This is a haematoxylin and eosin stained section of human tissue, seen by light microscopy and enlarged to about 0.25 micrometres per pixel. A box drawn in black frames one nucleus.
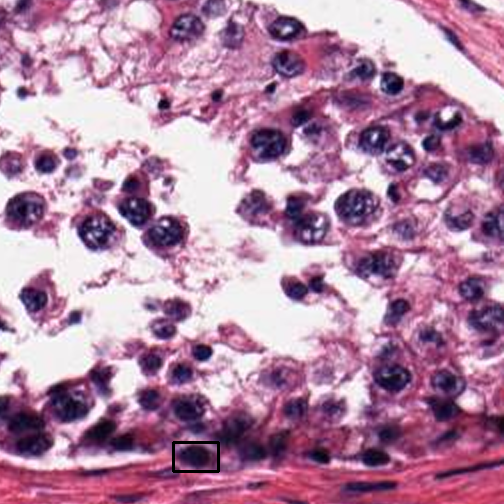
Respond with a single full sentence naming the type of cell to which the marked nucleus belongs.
The marked nucleus is housed in a spermatogonium.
